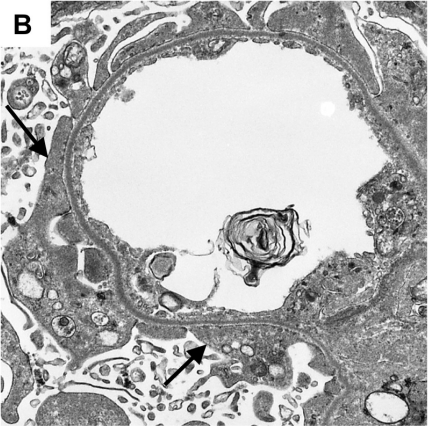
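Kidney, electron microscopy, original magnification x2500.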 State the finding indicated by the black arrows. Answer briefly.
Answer: Effacement of podocyte foot processes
